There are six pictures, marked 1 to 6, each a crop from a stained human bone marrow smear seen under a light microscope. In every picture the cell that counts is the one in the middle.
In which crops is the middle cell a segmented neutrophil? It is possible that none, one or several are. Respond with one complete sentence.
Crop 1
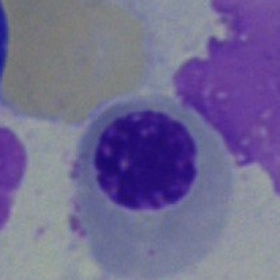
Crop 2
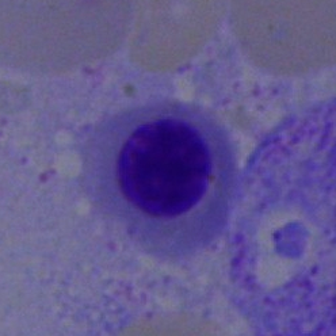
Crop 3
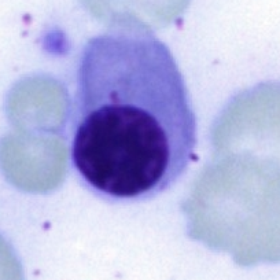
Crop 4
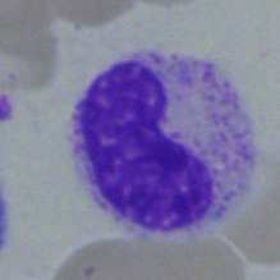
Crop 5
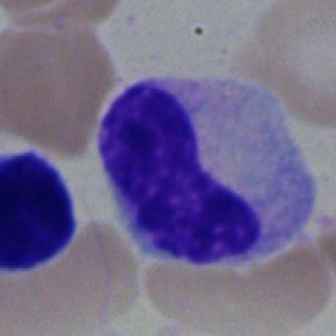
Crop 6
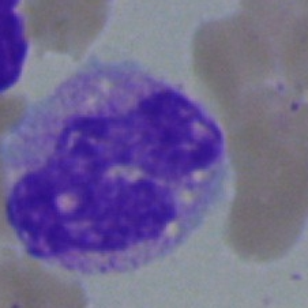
Of all the crops provided, none shows a segmented neutrophil.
